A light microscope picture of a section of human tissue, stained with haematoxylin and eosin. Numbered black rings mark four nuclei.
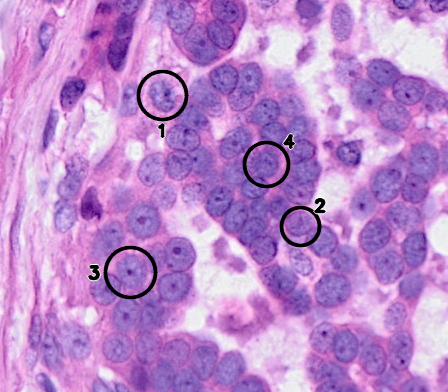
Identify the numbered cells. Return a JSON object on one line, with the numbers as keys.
{"1": "macrophage or monocyte", "2": "carcinoma cell", "3": "carcinoma cell", "4": "carcinoma cell"}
